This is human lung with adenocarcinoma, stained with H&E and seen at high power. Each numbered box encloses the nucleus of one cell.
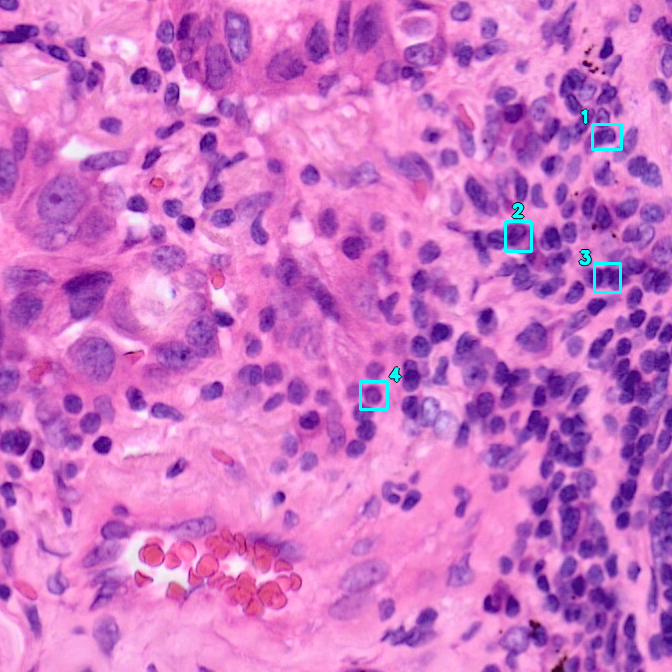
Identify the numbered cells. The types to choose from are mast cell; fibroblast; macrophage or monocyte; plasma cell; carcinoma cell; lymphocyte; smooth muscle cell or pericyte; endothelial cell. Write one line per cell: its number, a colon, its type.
1: lymphocyte
2: plasma cell
3: lymphocyte
4: lymphocyte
